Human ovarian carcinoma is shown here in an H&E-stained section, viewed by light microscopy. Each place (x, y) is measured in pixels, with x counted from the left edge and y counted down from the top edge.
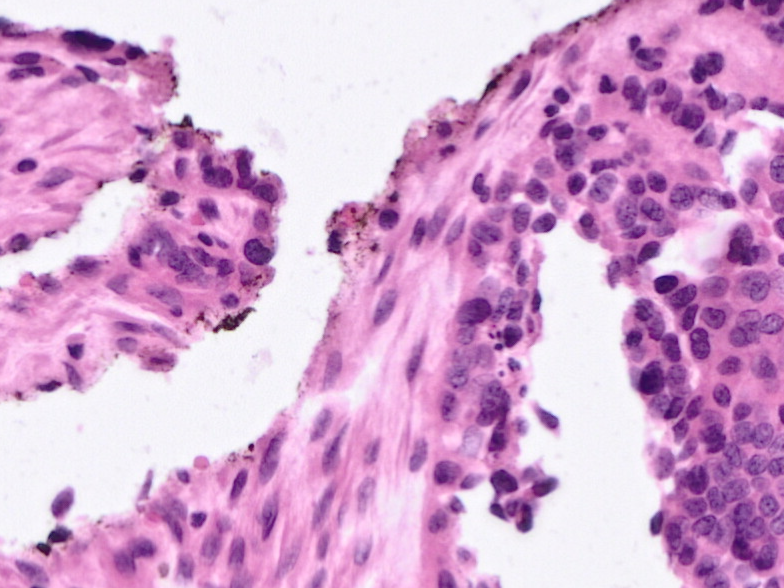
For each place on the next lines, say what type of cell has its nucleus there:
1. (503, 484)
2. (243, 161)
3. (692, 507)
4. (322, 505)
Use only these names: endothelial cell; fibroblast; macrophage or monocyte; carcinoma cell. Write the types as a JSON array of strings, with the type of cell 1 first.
["carcinoma cell", "carcinoma cell", "carcinoma cell", "fibroblast"]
